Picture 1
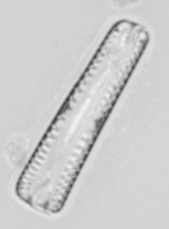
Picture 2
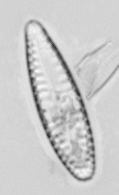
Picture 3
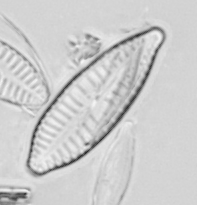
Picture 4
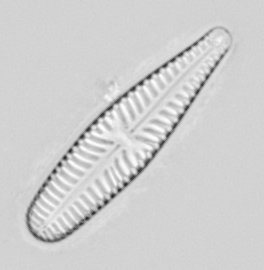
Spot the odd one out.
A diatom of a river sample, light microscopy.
Picture 4 (Gomphonella among Gomphonema).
